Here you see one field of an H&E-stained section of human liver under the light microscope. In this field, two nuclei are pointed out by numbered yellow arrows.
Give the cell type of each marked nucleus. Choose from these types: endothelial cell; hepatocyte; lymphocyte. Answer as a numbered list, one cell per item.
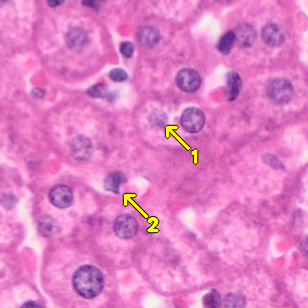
1. hepatocyte
2. endothelial cell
